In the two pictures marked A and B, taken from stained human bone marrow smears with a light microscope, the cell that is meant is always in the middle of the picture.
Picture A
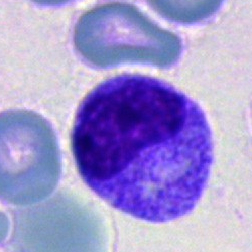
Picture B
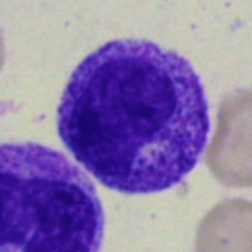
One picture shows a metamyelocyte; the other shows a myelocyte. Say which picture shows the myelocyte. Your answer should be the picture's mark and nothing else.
B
